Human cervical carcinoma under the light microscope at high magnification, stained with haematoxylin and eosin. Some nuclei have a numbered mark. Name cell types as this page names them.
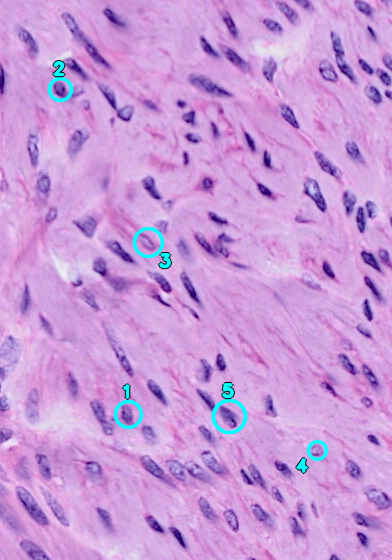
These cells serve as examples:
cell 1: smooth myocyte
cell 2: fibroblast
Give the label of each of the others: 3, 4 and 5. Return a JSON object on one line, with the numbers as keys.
{"3": "smooth myocyte", "4": "smooth myocyte", "5": "fibroblast"}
